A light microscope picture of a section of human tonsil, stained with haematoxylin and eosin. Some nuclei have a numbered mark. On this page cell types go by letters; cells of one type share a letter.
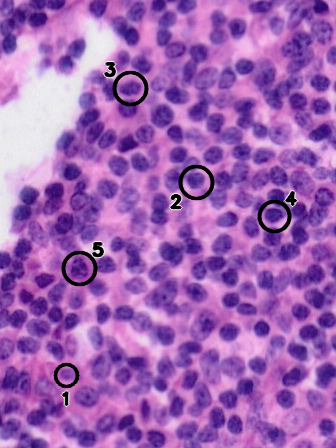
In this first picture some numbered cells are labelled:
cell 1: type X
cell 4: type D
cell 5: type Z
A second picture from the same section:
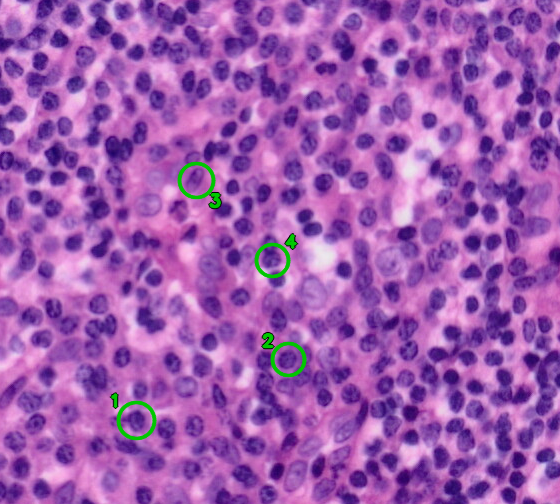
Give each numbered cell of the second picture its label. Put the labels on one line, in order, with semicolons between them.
type Z; type Z; type X; type Z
